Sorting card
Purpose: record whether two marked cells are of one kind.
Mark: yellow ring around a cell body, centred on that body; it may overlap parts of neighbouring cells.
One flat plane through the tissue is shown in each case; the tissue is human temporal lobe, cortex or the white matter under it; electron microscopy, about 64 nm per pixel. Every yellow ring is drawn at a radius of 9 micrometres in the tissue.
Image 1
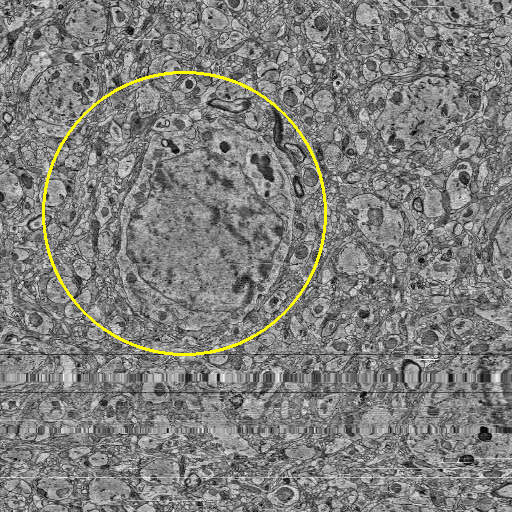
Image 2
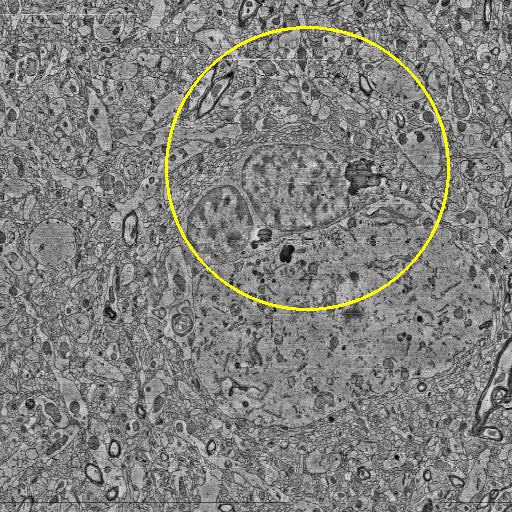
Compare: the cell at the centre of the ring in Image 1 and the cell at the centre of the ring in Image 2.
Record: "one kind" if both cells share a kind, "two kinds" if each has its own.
two kinds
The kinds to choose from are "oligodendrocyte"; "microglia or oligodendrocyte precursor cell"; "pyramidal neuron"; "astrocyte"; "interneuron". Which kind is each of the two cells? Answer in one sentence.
Of the two, the first cell is an interneuron and the second cell is an oligodendrocyte.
